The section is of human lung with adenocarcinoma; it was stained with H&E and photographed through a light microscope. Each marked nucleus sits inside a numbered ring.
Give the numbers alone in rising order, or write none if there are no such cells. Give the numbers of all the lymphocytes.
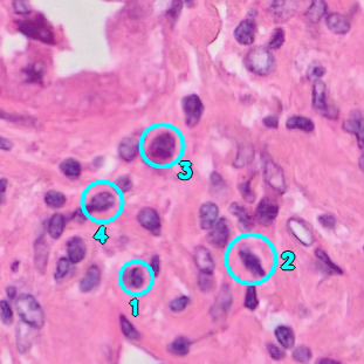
1, 2, 4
